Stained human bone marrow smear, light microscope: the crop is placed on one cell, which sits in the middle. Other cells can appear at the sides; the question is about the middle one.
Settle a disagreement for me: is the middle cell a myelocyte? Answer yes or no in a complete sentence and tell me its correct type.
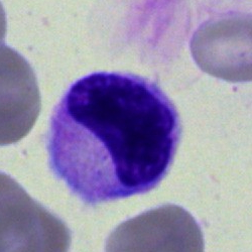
No, the cell centered in the crop is a metamyelocyte, not a myelocyte.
